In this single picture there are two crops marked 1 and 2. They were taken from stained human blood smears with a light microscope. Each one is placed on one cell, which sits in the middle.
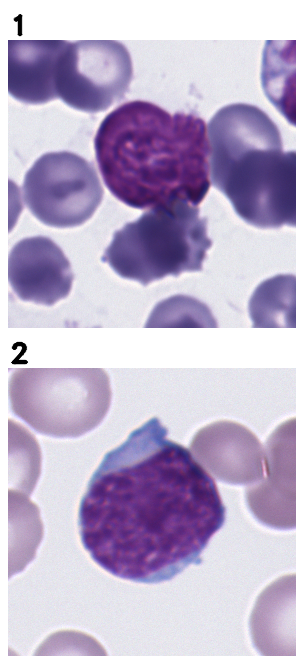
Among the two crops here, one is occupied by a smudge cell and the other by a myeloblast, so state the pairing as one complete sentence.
In crop 2 the central cell is a myeloblast, and in crop 1 it is a smudge cell.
